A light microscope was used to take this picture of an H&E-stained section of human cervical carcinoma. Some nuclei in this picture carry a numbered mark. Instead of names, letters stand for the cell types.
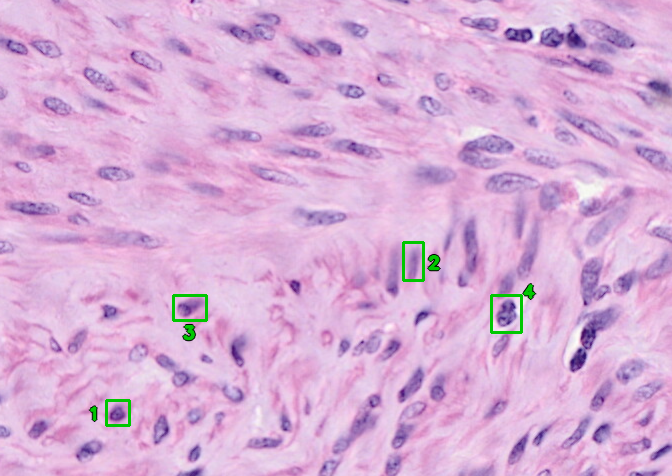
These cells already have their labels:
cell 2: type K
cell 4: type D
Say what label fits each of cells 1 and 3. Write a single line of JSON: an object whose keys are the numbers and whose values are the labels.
{"1": "type K", "3": "type K"}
